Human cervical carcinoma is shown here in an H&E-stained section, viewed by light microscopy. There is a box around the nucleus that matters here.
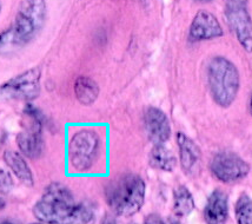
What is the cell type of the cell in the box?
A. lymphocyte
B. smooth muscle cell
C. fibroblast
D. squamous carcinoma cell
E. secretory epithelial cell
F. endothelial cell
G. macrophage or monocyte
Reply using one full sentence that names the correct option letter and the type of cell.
Identified correctly by option D, the cell in the box is a squamous carcinoma cell.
